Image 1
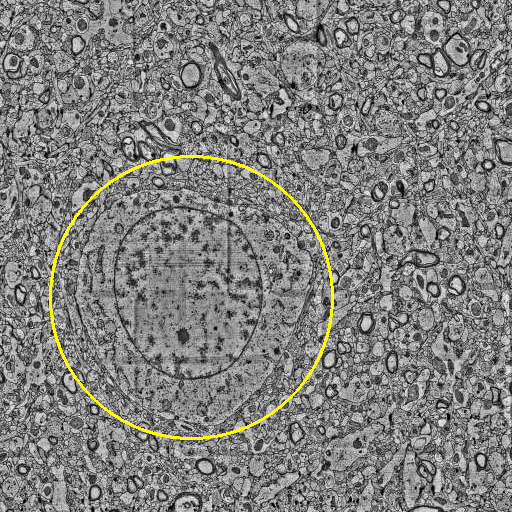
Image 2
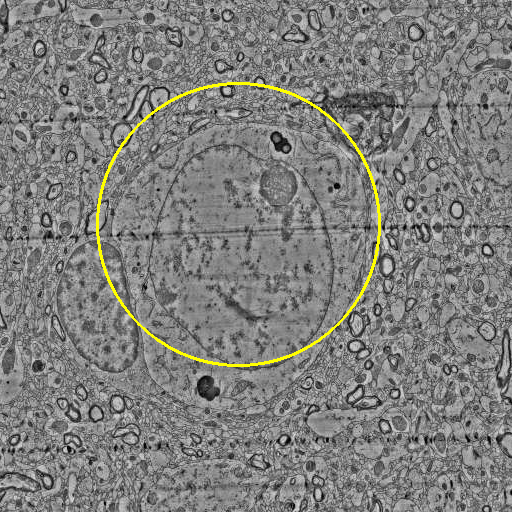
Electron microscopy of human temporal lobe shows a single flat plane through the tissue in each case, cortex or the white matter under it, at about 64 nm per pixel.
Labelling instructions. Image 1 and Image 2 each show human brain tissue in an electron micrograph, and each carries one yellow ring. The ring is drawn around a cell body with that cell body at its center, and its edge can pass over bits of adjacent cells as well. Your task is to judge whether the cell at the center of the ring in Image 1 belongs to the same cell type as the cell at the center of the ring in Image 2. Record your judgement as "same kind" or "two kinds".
same kind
